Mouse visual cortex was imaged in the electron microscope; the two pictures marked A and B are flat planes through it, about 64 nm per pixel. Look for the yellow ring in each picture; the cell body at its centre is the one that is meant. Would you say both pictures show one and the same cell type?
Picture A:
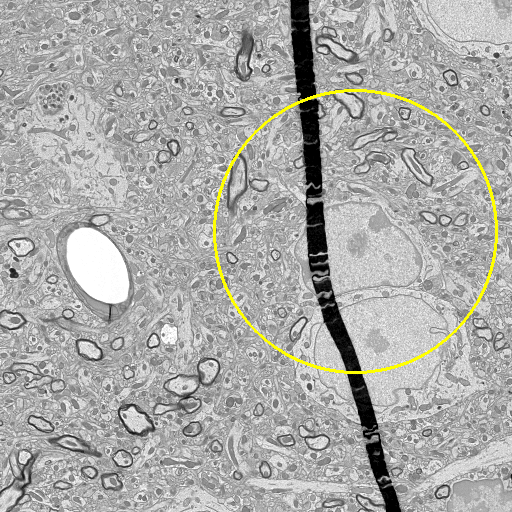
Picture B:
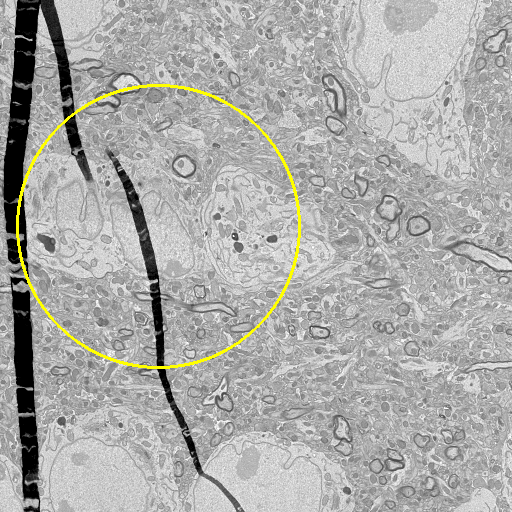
Yes, they are the same type: both are oligodendrocyte precursor cells.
